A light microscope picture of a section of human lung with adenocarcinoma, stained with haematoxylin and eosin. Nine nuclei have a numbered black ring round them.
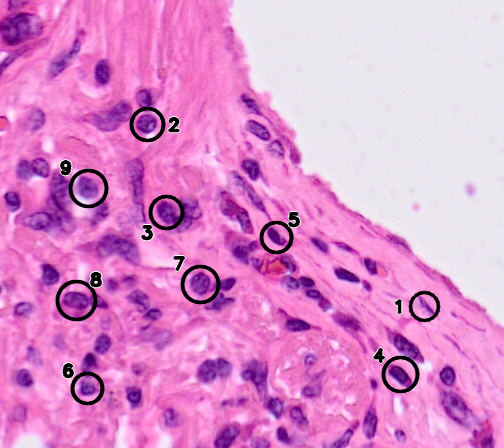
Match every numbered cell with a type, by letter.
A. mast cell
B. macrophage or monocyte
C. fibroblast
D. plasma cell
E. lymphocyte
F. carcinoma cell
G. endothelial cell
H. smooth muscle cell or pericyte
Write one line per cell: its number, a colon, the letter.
1: C
2: E
3: E
4: D
5: D
6: E
7: E
8: D
9: E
